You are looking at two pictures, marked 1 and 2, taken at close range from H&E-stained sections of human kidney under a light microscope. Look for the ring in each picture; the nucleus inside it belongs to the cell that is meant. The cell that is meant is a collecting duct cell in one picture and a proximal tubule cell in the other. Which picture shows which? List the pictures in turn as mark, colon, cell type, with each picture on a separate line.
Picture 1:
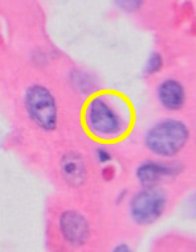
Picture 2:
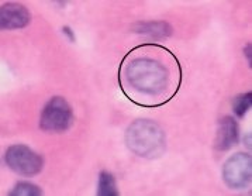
1: collecting duct cell
2: proximal tubule cell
